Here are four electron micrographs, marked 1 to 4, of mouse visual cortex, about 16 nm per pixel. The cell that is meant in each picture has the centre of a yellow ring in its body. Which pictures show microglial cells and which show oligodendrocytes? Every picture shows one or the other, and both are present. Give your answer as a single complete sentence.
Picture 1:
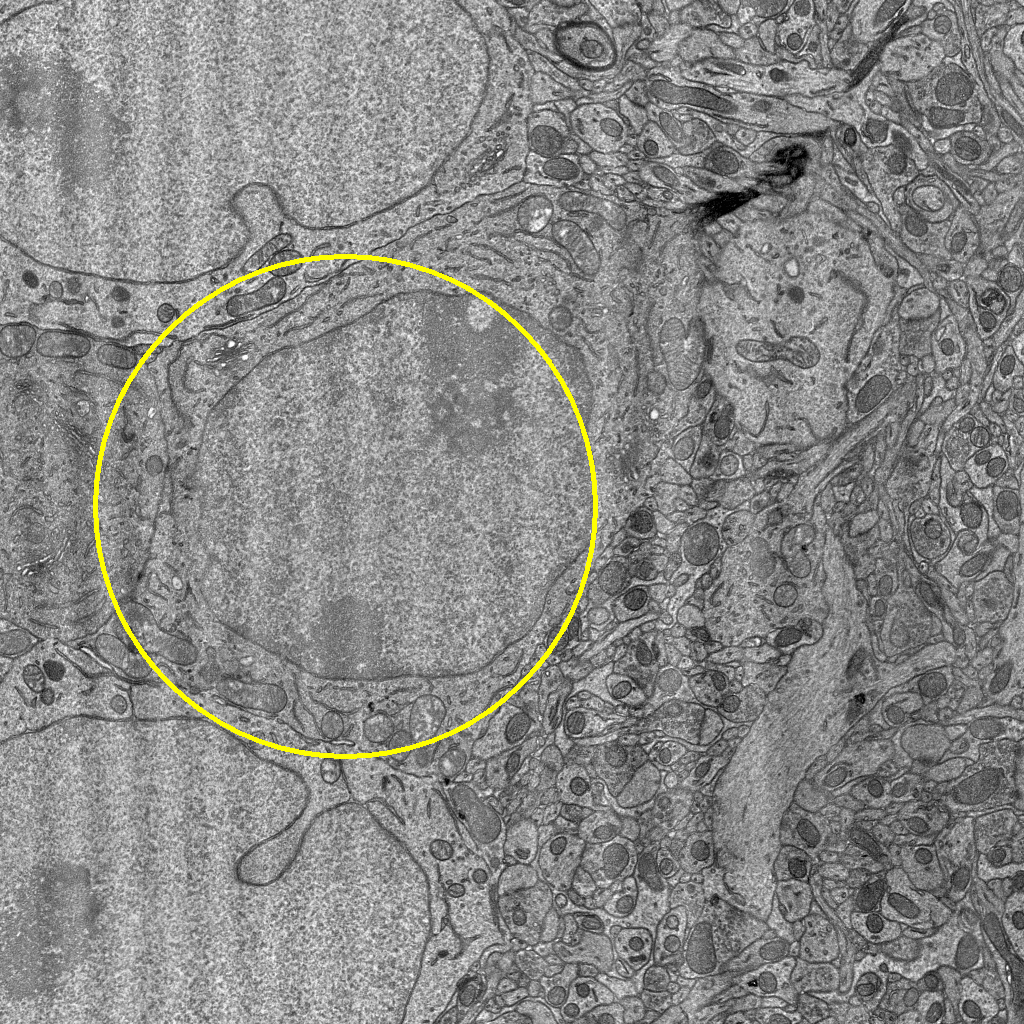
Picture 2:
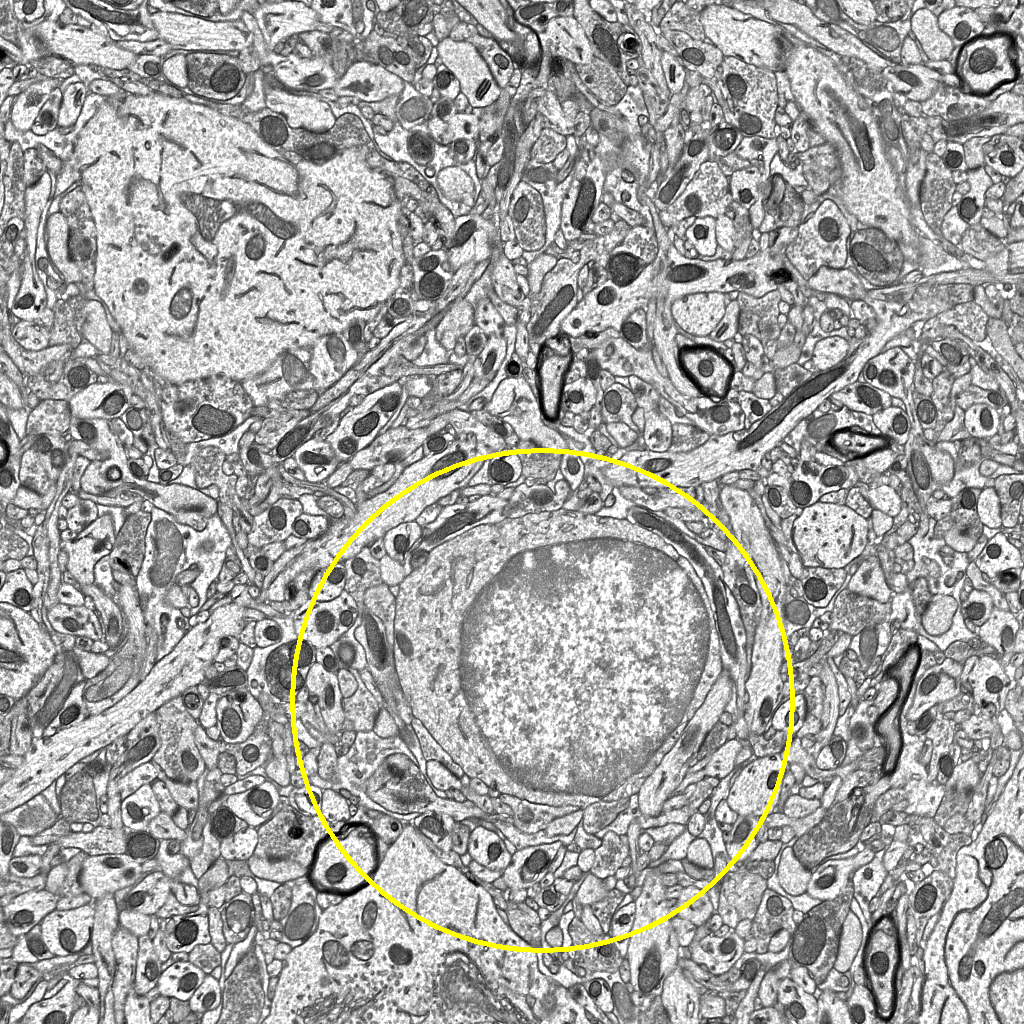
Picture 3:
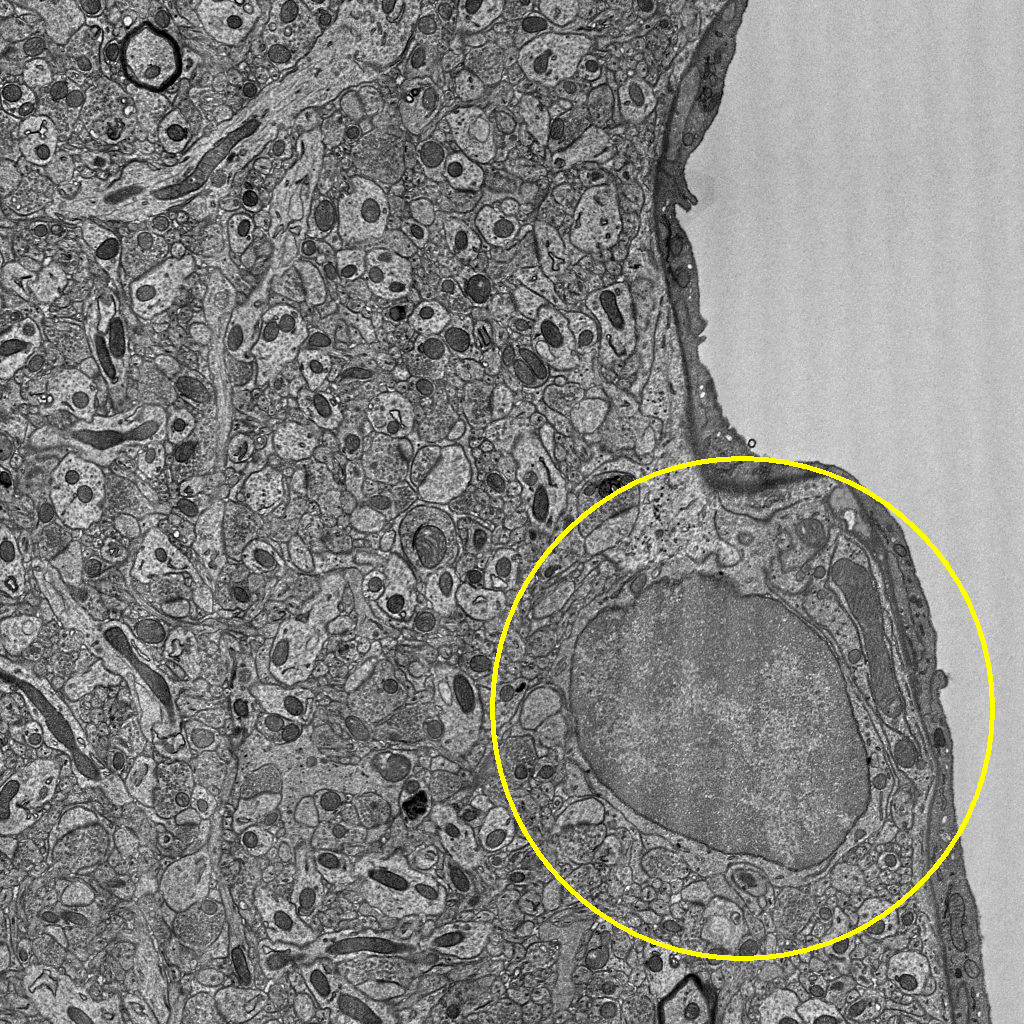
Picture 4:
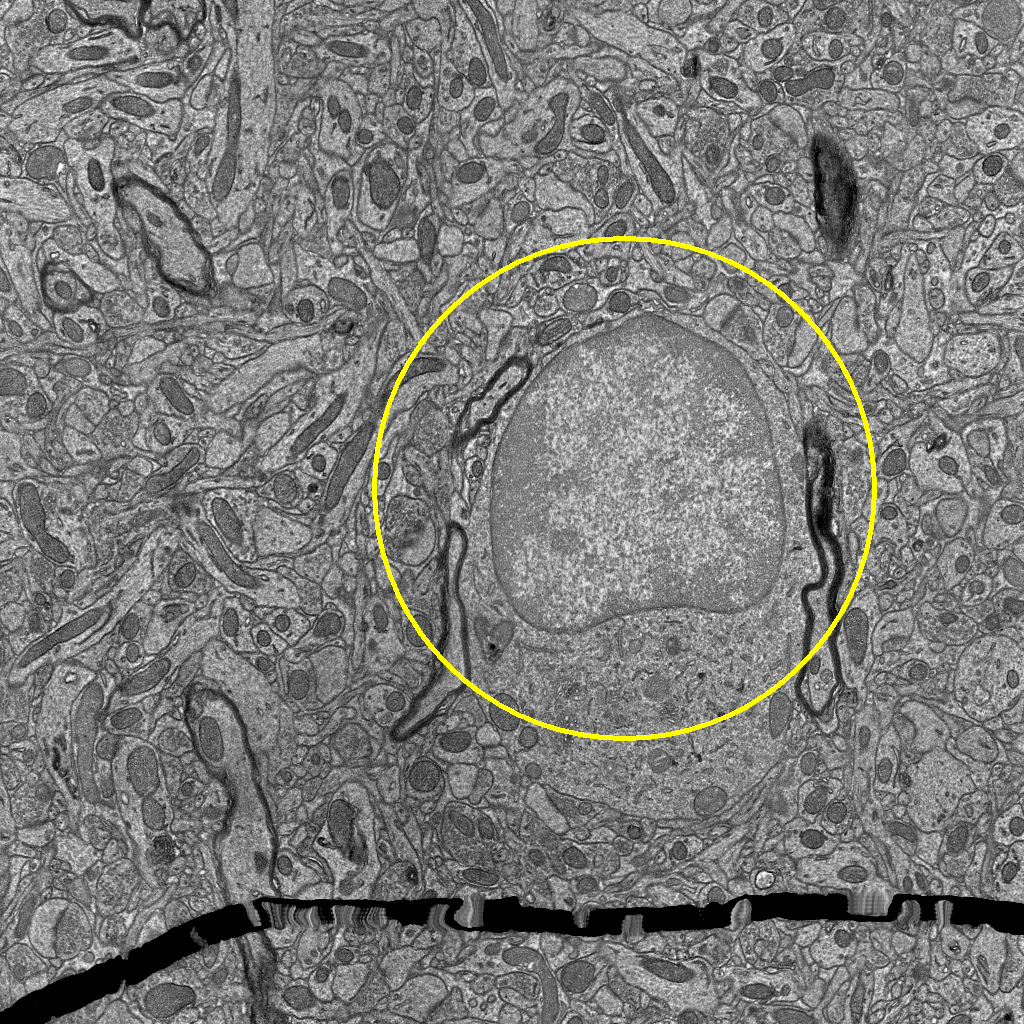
Picture 3 shows a microglial cell, while pictures 1, 2 and 4 show oligodendrocytes.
